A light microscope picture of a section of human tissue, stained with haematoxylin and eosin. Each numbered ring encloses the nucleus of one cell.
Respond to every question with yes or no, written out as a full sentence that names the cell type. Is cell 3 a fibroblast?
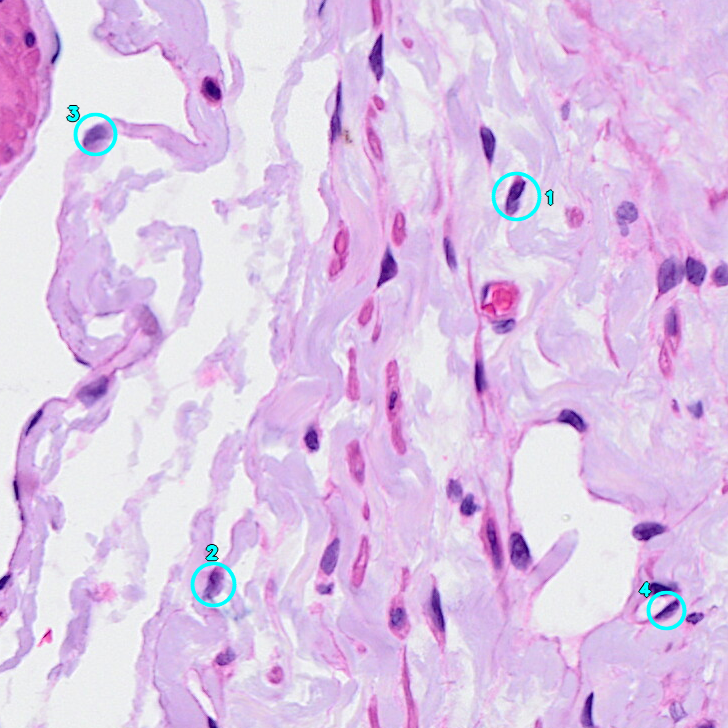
No, cell 3 should be classed as an endothelial cell, not as a fibroblast.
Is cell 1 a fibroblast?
Yes, the cell marked by the number 1 is a fibroblast.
